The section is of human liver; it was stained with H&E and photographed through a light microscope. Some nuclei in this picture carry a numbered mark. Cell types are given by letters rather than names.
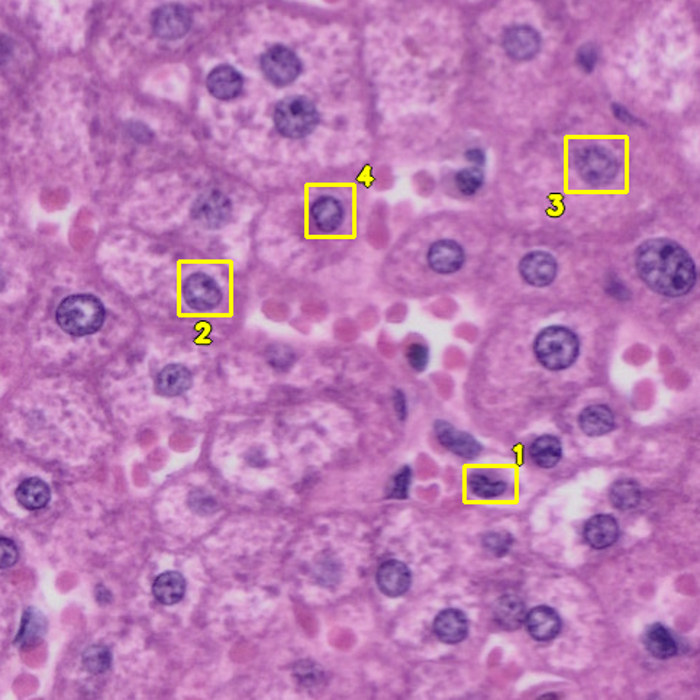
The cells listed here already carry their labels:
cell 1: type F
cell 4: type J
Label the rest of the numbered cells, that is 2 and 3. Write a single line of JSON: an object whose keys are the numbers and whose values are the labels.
{"2": "type J", "3": "type J"}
